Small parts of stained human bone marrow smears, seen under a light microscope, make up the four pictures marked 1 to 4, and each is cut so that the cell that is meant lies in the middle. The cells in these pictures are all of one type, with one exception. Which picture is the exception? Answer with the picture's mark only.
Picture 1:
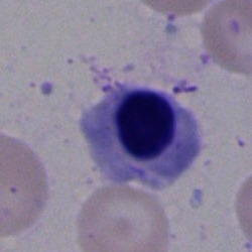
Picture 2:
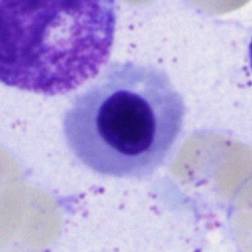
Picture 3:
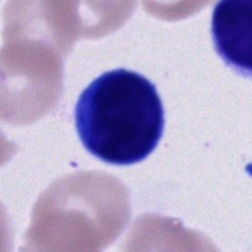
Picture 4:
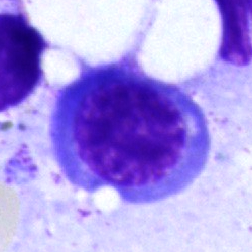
3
